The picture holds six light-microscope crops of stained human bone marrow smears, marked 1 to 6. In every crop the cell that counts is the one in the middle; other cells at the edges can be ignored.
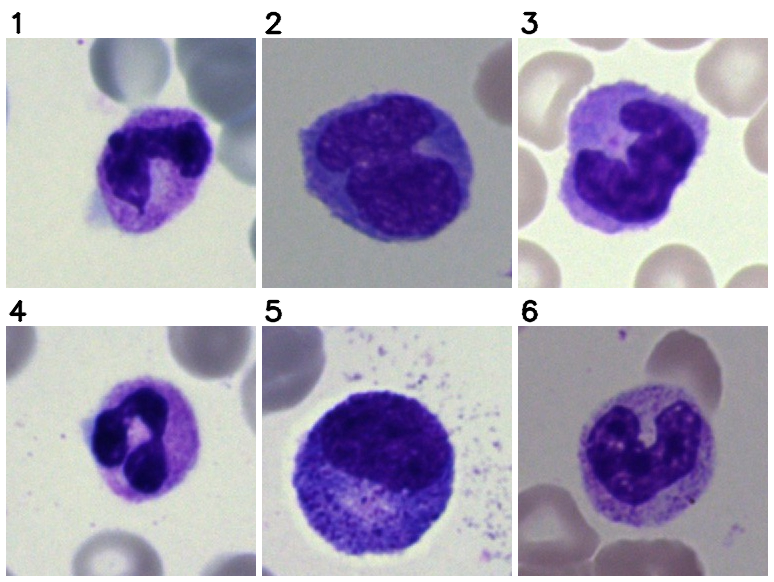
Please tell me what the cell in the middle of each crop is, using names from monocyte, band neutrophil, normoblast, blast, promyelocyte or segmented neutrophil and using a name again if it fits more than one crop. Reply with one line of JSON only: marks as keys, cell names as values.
{"1": "band neutrophil", "2": "monocyte", "3": "monocyte", "4": "segmented neutrophil", "5": "promyelocyte", "6": "band neutrophil"}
